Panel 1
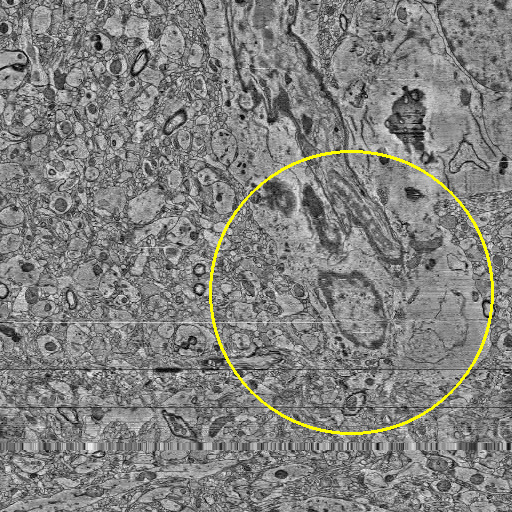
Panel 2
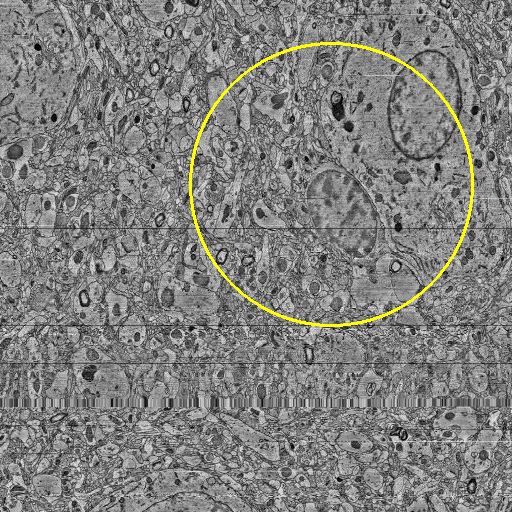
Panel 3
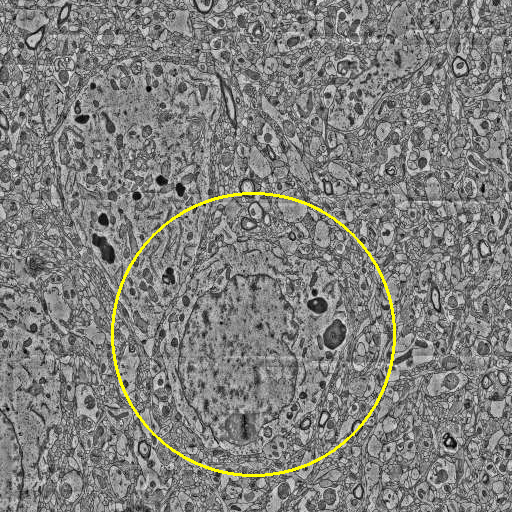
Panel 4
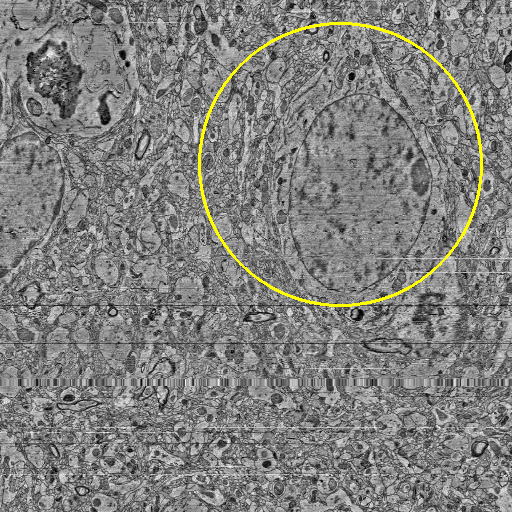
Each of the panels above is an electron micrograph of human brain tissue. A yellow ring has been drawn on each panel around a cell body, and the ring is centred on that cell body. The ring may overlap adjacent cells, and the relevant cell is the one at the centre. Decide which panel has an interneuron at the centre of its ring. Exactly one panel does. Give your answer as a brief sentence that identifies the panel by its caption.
Panel 3 is the one with it at the centre of the ring.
